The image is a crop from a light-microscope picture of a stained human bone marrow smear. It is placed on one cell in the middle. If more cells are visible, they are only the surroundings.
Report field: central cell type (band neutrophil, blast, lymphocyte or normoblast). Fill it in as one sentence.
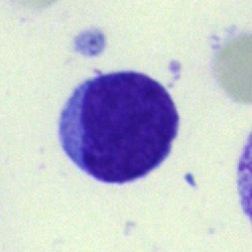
The cell of interest, in the center, is a lymphocyte.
